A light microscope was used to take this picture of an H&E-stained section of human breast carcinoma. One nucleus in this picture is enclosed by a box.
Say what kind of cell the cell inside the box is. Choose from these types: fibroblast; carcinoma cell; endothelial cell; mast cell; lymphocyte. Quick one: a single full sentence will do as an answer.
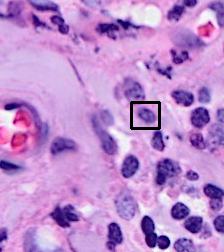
At the level of cell identity, the cell inside the box is a mast cell.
